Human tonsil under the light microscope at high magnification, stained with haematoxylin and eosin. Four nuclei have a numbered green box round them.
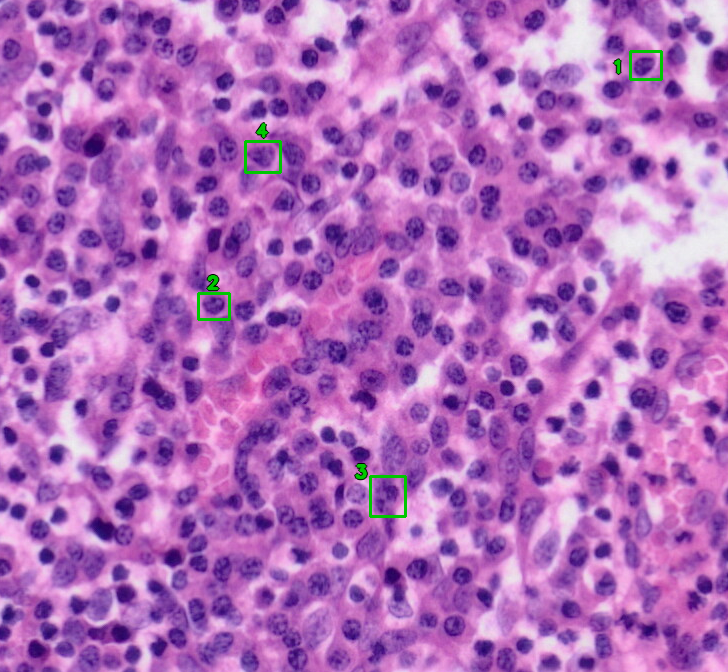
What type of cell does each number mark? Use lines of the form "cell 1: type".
cell 1: plasma cell
cell 2: plasma cell
cell 3: squamous epithelial cell
cell 4: plasma cell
